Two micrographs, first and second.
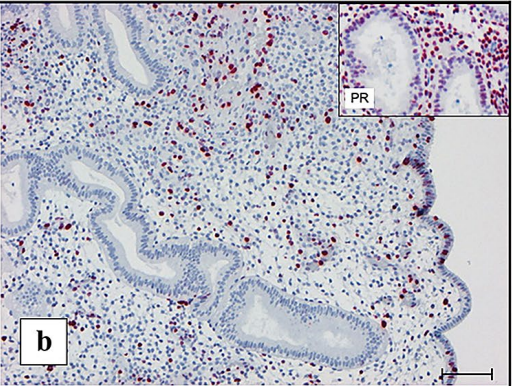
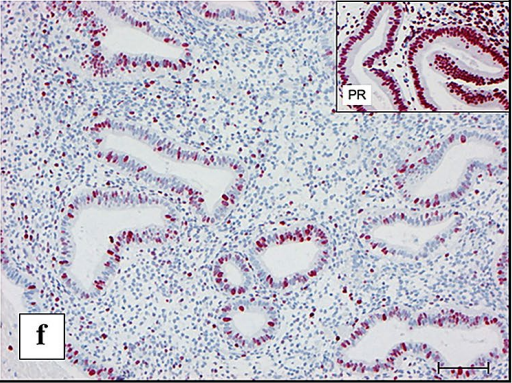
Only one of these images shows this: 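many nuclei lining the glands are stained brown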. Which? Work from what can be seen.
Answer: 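Second image: numerous brown nuclei in the epithelium lining the glands. First image: gland-lining nuclei are blue, brown nuclei lie mainly in the stroma.
Answer: the second image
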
